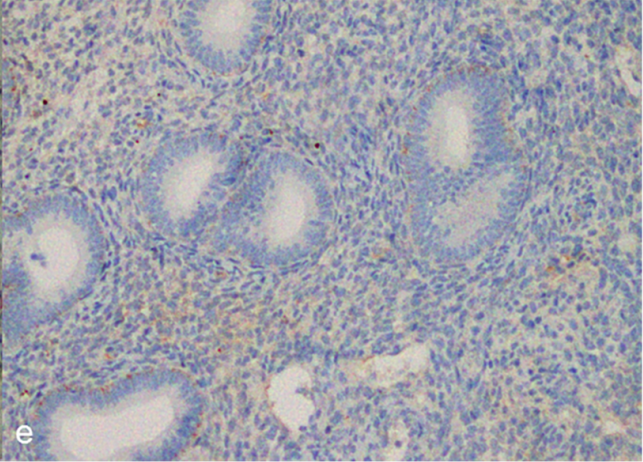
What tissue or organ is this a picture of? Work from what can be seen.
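Round to oval glands lined by tall columnar epithelium sit in a dense cellular background. The background is packed with small cells with oval blue nuclei and scant cytoplasm.
Answer: endometrial stroma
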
